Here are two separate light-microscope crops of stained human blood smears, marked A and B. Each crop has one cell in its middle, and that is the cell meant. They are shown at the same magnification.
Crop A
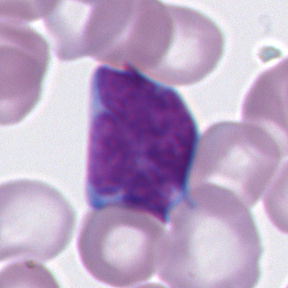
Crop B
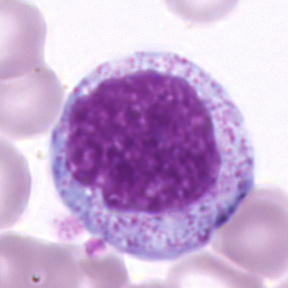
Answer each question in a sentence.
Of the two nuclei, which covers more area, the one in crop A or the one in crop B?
Larger is the nucleus in crop B, at roughly 1.5 times the area of the other.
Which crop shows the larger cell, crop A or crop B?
The cell in crop B is larger, with about 2 times the area of the one in crop A.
